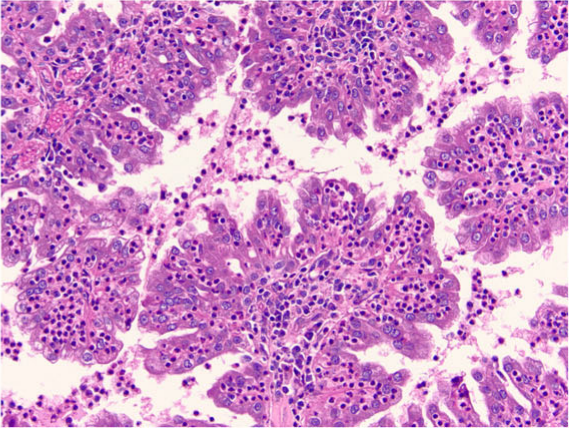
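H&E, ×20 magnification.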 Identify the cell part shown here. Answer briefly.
prominent nucleoli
